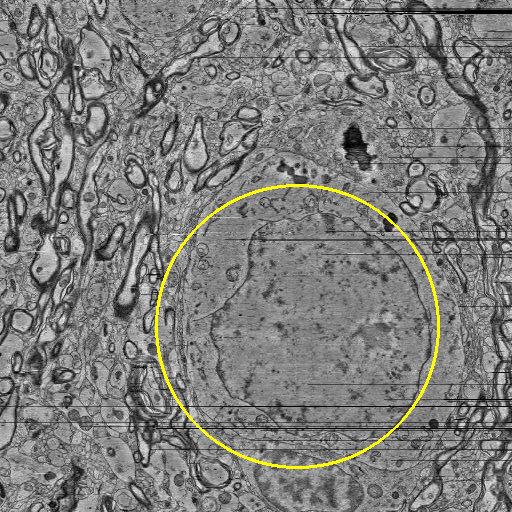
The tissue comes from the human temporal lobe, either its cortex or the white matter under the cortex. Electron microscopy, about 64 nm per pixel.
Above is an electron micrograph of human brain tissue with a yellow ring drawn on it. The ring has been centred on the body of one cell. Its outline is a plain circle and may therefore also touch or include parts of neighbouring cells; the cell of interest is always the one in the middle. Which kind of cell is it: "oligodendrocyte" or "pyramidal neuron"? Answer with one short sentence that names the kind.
The ring's central cell body is that of a pyramidal neuron.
